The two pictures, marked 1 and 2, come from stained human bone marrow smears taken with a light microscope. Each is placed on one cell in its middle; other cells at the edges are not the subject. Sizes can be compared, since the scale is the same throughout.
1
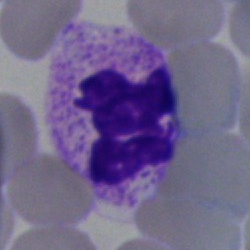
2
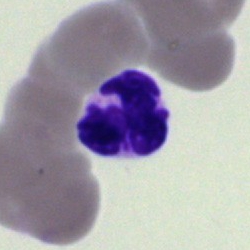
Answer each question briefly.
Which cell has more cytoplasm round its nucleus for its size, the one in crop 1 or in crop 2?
1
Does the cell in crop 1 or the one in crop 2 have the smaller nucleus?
2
